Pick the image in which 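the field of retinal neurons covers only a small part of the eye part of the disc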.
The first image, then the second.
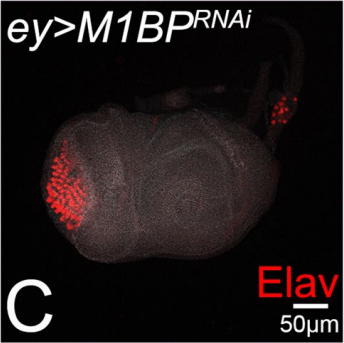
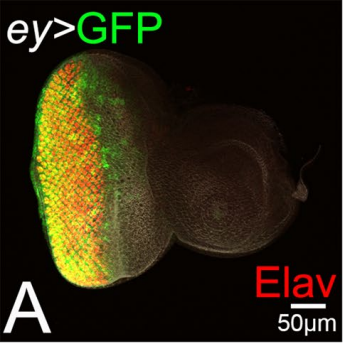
The first image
